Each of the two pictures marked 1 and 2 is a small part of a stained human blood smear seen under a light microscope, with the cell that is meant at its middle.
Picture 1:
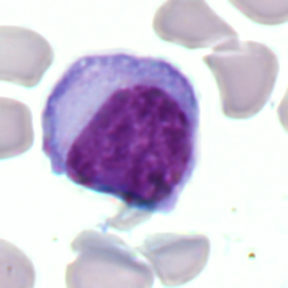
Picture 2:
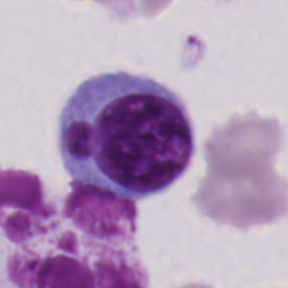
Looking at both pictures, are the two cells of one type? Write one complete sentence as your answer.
Yes; the cells in both pictures are plasma cells.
